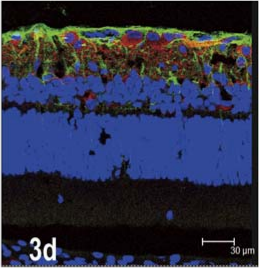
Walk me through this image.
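Retina in cross-section with the inner surface at top. Along the inner margin a dense meshwork of green fibrous processes wraps around rounded red-stained cell bodies in the ganglion cell layer. Green strands extend downward between the nuclei of the layers below. Outer segments at the bottom are dim.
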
